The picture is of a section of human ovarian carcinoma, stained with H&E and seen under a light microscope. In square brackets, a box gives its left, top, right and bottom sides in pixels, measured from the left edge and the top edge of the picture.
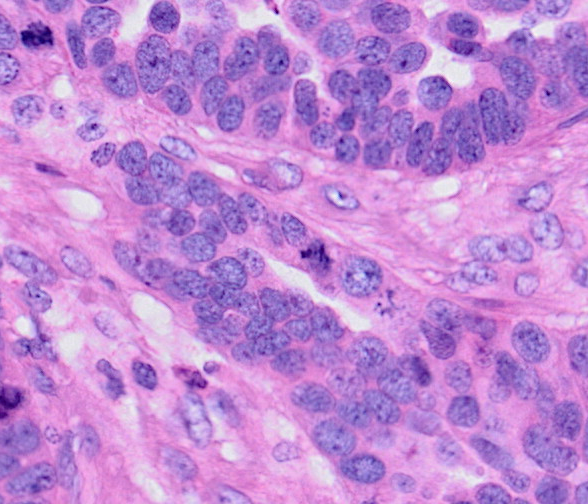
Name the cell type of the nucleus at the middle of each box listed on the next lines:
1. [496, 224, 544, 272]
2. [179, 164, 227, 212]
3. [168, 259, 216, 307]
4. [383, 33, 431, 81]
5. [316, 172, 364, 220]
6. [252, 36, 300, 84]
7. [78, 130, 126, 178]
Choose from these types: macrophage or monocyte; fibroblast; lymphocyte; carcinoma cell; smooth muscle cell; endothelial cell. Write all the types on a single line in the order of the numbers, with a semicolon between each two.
fibroblast; carcinoma cell; carcinoma cell; carcinoma cell; fibroblast; carcinoma cell; macrophage or monocyte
